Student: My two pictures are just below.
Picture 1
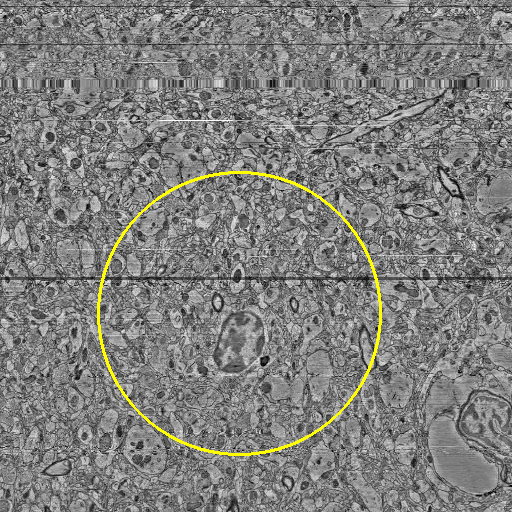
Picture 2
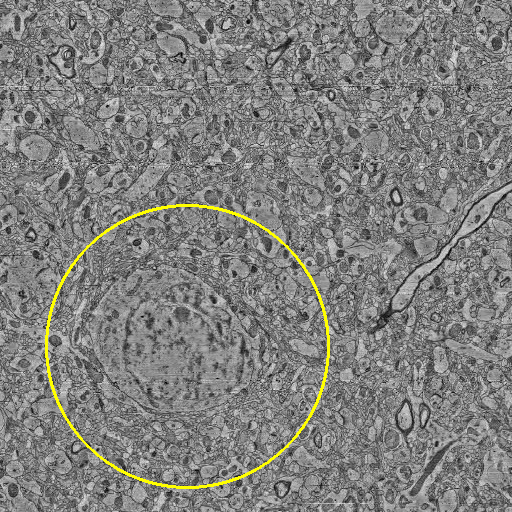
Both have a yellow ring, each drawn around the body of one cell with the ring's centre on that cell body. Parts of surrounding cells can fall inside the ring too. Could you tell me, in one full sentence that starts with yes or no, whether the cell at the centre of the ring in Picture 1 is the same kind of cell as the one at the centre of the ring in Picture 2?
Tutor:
No, the two cells are of two kinds.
